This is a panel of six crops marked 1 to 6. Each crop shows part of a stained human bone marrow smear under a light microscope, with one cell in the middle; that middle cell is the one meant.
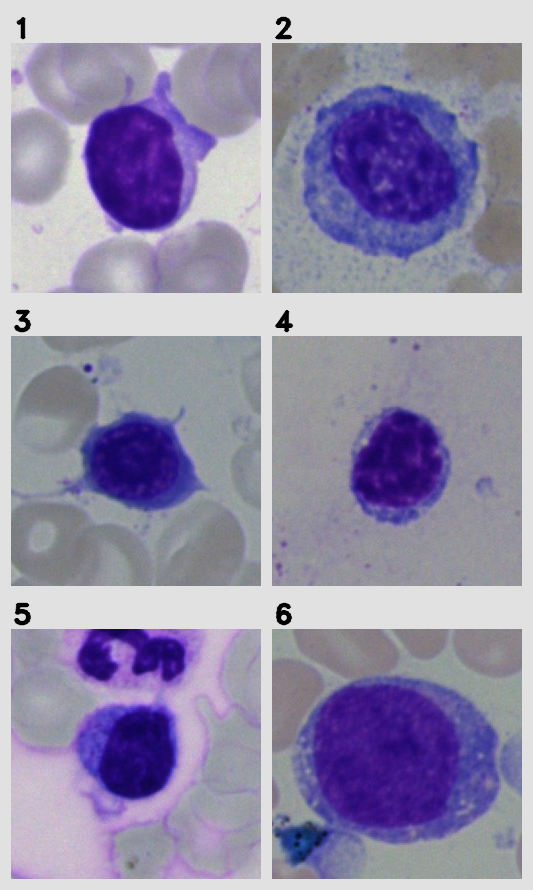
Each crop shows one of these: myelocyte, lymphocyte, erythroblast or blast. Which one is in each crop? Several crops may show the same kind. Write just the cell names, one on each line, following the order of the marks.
lymphocyte
myelocyte
lymphocyte
lymphocyte
lymphocyte
blast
